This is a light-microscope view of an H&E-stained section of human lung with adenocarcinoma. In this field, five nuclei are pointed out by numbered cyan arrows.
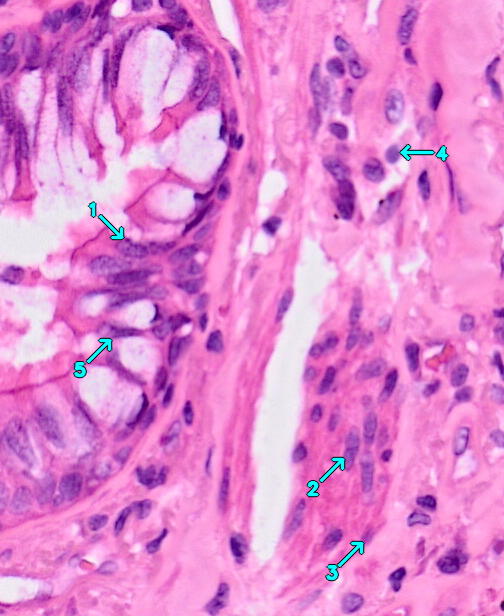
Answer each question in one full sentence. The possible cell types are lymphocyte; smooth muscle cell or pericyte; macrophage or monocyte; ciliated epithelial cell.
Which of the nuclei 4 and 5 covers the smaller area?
Nucleus 4 covers less area, with nucleus 5 about 4 times as large.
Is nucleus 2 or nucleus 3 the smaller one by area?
It is nucleus 3; nucleus 2 has about 2.5 times its area.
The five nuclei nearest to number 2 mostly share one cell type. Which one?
Smooth muscle cells or pericytes account for more than half of the five nuclei nearest to number 2.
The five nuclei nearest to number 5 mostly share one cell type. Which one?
Most of the five nuclei nearest to number 5 are those of ciliated epithelial cells.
